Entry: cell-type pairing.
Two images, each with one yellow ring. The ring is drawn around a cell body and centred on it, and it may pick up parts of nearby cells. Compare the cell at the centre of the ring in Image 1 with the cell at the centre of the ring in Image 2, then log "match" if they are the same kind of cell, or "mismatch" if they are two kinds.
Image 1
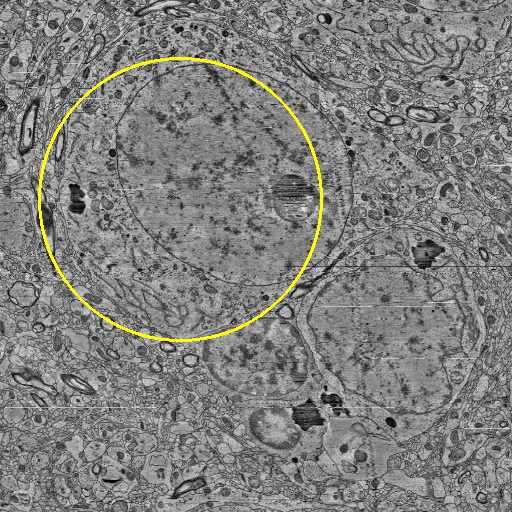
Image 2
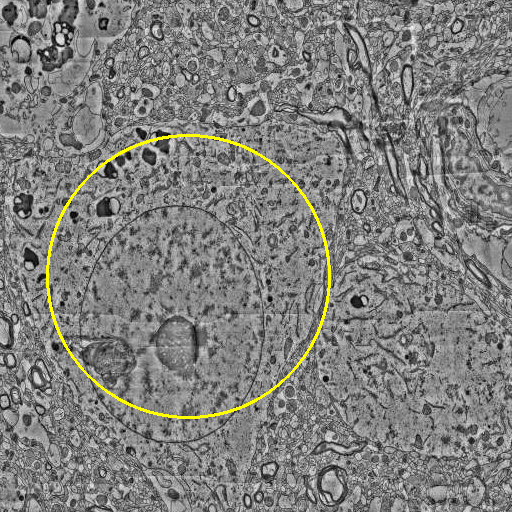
match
